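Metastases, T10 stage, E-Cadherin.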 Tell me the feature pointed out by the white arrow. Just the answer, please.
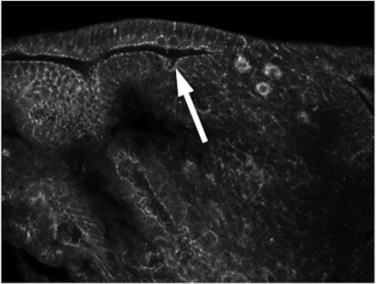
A: Lumen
